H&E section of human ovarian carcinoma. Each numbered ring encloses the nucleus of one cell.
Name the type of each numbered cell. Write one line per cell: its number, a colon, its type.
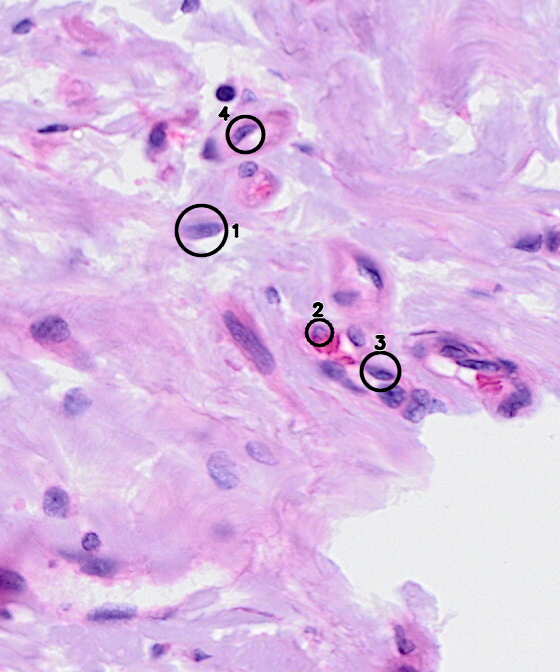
1: fibroblast
2: endothelial cell
3: endothelial cell
4: endothelial cell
